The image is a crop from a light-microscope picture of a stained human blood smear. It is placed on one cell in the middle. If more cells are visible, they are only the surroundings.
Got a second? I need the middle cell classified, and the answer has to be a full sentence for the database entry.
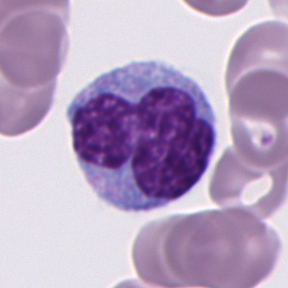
The cell sitting right in the middle is a monocyte.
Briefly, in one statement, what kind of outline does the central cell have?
If you check the edge, you will find it smooth without projections.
